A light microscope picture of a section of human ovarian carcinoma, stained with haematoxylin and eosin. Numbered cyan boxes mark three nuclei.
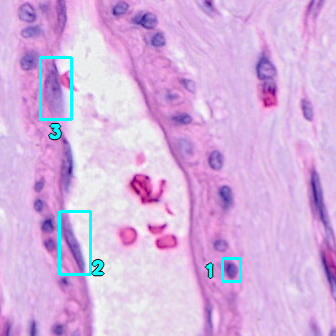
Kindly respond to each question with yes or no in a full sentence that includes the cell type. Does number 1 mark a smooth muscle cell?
Yes, the cell marked with number 1 is a smooth muscle cell.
